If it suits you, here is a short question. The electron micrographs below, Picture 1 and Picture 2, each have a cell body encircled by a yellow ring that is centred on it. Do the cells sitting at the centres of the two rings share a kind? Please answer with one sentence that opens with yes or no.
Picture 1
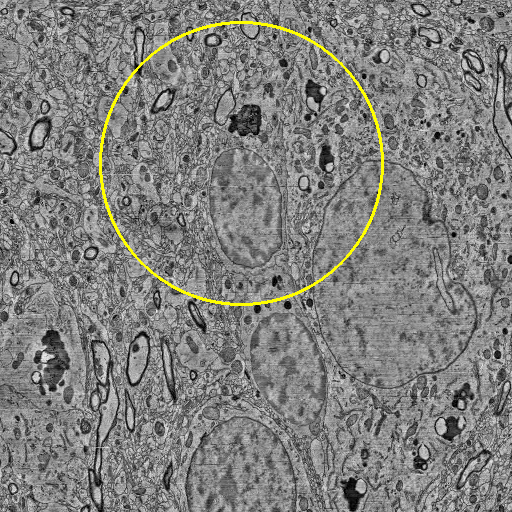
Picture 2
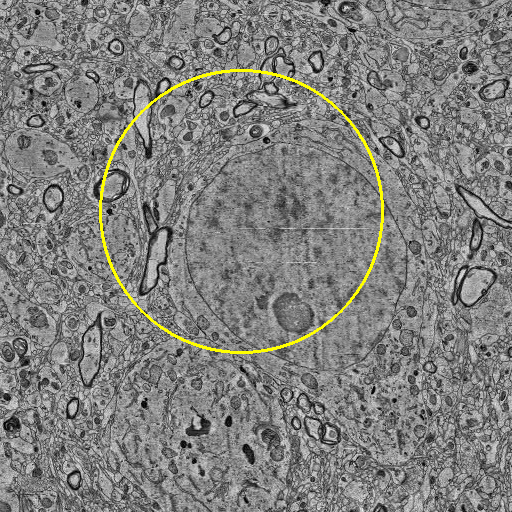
No, the two cells sitting at the ring centres fall into two kinds.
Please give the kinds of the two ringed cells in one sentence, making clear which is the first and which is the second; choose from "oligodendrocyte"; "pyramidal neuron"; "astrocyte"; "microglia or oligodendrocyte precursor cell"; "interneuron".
In the second picture the ringed cell is a pyramidal neuron; in the first it is an oligodendrocyte.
